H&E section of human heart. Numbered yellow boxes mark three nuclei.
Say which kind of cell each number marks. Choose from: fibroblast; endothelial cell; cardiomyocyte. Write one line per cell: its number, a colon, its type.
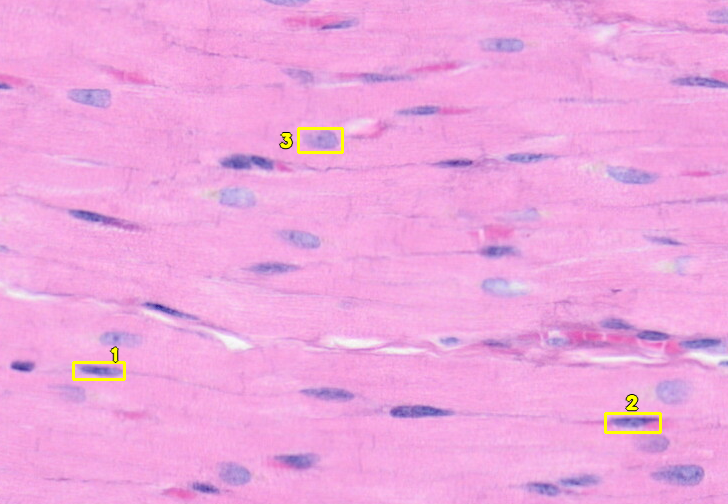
1: endothelial cell
2: endothelial cell
3: cardiomyocyte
